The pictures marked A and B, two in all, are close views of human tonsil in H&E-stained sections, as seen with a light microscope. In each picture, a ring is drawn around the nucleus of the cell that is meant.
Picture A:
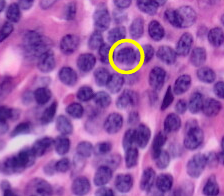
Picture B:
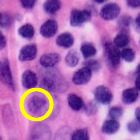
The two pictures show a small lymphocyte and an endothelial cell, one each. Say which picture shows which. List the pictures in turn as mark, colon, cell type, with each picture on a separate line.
A: small lymphocyte
B: endothelial cell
